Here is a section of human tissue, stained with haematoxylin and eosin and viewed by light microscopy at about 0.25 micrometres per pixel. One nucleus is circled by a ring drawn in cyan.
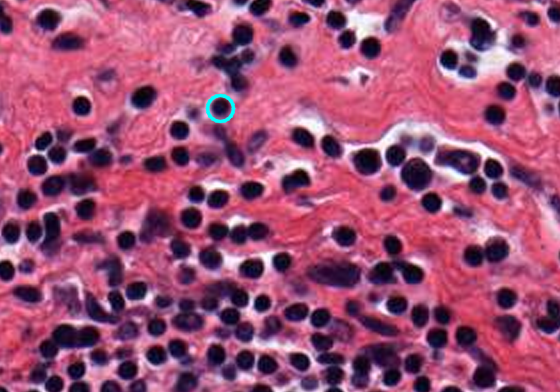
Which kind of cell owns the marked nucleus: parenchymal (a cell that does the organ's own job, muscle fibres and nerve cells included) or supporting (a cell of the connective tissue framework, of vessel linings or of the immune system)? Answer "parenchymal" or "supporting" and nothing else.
supporting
